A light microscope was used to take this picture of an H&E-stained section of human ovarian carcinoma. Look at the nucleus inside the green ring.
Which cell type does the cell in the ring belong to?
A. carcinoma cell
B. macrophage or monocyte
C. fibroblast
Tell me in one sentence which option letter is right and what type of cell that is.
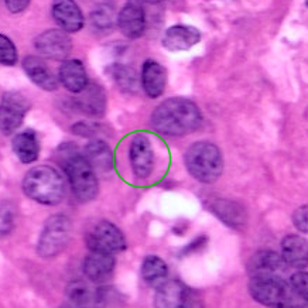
The correct option here, B, identifies the cell in the ring as a macrophage or monocyte.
